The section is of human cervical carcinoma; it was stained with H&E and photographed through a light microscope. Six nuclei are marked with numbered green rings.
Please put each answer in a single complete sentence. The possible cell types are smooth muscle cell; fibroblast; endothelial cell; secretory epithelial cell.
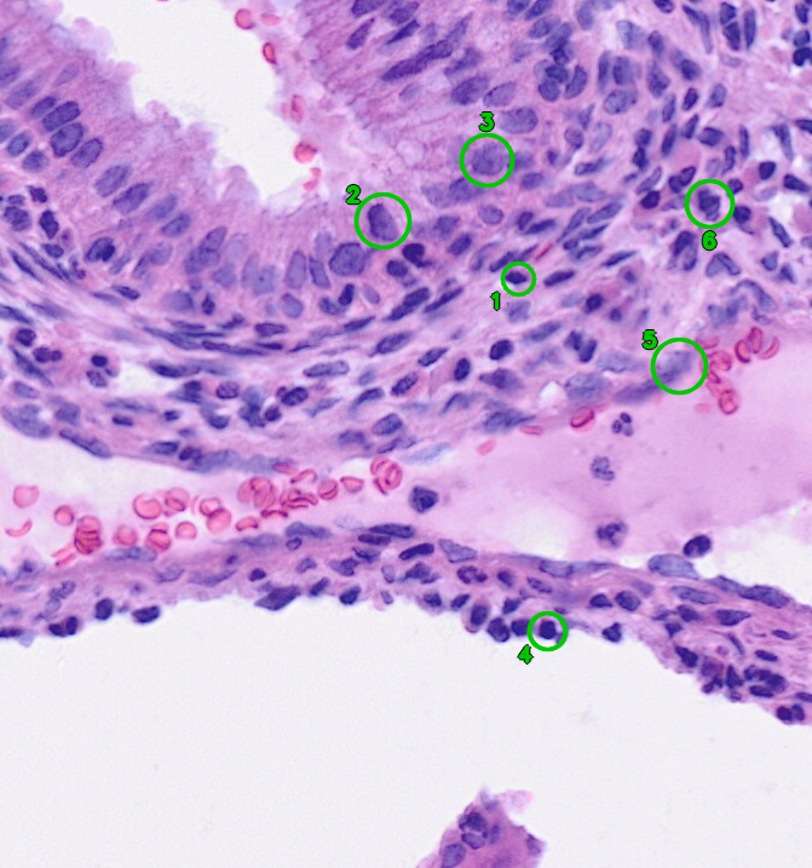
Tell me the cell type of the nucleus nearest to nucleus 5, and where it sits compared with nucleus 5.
The closest nucleus belongs to an endothelial cell and sits below and to the left of nucleus 5.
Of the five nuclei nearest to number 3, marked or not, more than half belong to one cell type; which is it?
Secretory epithelial cells make up most of the five nuclei closest to number 3.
